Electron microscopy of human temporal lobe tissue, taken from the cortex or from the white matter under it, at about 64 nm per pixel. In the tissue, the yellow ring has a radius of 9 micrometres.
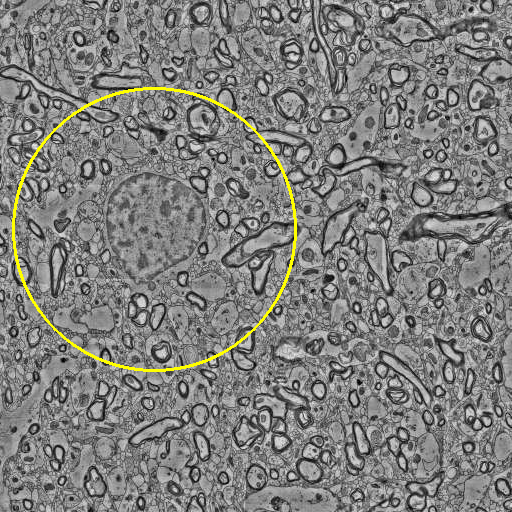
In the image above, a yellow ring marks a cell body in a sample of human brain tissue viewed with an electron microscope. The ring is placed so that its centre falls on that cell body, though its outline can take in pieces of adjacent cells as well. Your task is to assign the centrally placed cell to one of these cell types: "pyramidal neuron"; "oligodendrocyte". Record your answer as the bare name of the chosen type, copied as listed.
oligodendrocyte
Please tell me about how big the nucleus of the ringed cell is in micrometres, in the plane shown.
About 7 micrometres across, as seen in this plane.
